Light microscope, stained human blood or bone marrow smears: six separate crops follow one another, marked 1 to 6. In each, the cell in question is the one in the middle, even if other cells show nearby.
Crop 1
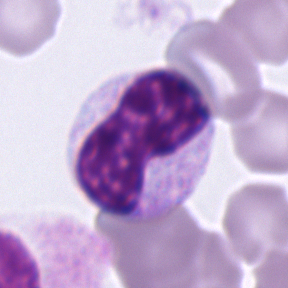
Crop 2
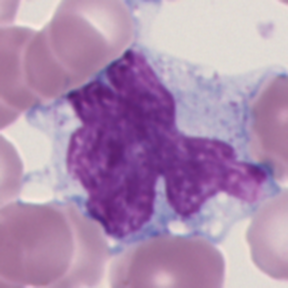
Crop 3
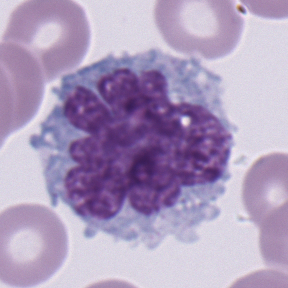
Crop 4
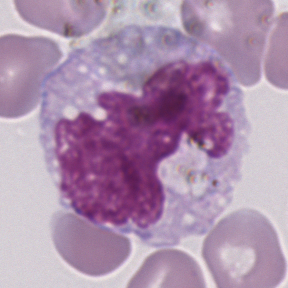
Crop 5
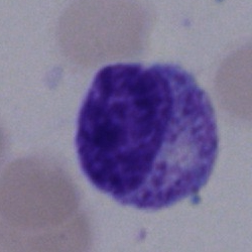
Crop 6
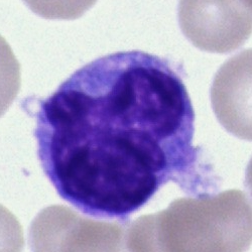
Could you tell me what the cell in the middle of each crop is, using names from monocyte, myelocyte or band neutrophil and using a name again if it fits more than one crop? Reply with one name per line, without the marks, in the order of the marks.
band neutrophil
monocyte
monocyte
monocyte
myelocyte
monocyte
